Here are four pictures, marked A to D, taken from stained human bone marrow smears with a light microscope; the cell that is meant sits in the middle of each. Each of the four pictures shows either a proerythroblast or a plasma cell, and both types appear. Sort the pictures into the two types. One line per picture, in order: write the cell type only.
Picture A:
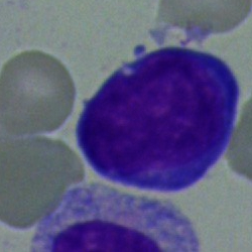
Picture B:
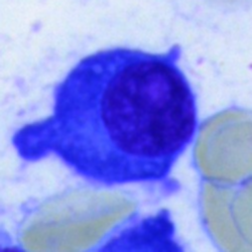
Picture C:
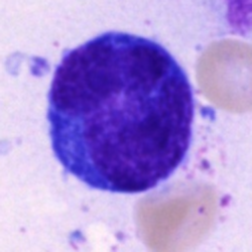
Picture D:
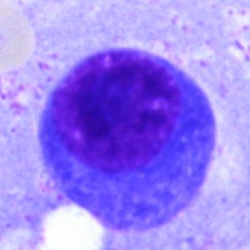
proerythroblast
plasma cell
proerythroblast
plasma cell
